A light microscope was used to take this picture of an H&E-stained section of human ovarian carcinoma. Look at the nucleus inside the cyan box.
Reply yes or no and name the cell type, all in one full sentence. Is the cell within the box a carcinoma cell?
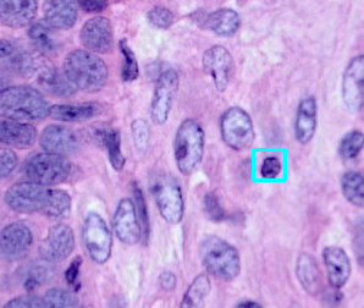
No, not quite: the cell within the box is a lymphocyte rather than a carcinoma cell.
